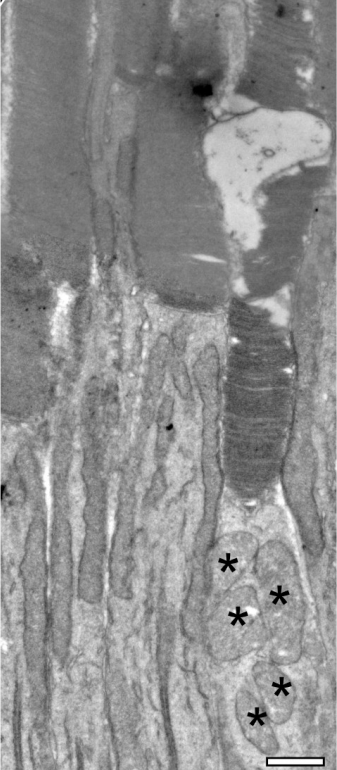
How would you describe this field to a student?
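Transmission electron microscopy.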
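Electron micrograph of rod photoreceptors of the retina, showing outer segments above and inner segments below. The outer segments are long, dark cylinders of tightly stacked, parallel membrane discs; one is disrupted by a large, irregular, electron-lucent vacuole containing small membrane fragments, and its lower portion is narrow and darker. Beneath it, the inner segment of that cell holds a cluster of enlarged, rounded mitochondria with swollen, pale matrix and sparse cristae. The neighbouring inner segments contain slender, elongated mitochondria aligned along the cell's long axis in a finely granular cytoplasm.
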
